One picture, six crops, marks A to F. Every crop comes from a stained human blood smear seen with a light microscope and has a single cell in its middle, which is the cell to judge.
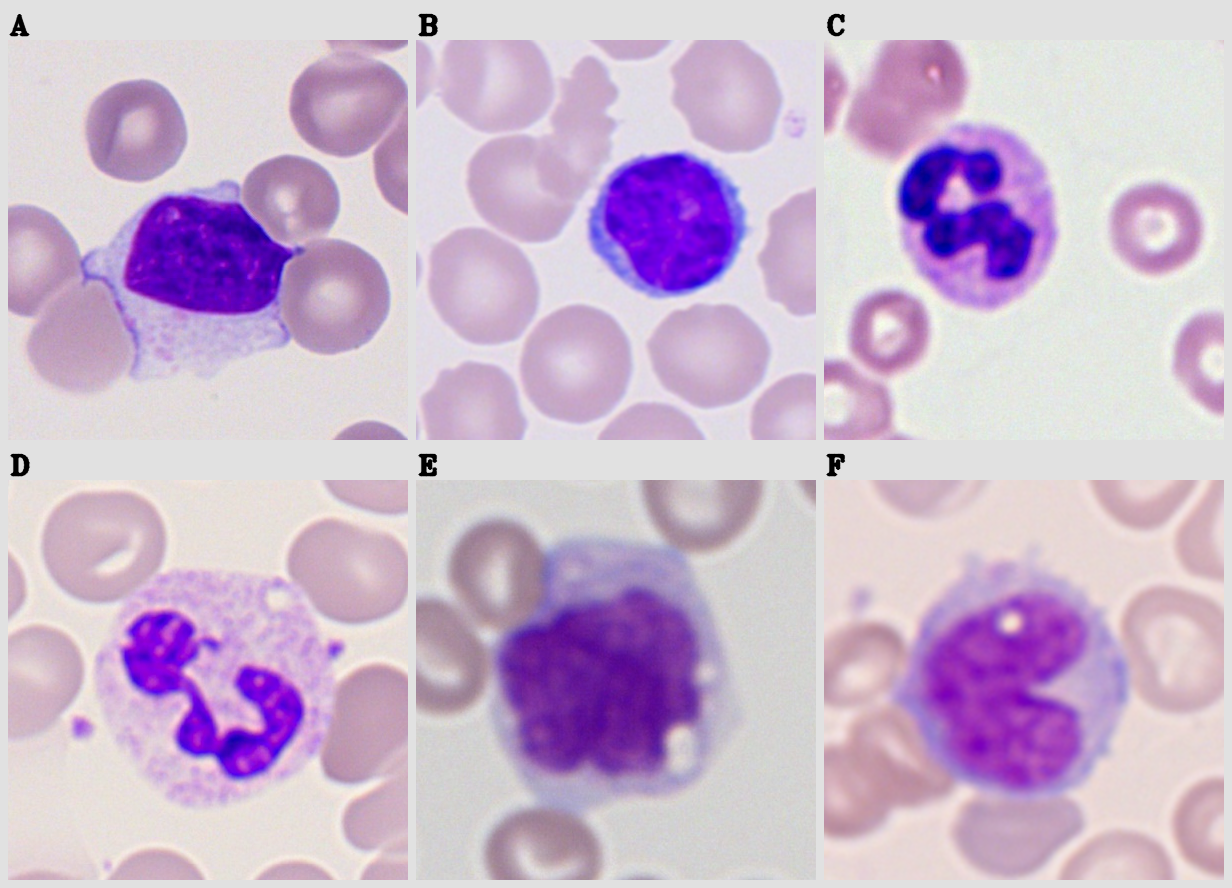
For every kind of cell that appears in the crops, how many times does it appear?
lymphocyte: 2
neutrophil: 2
monocyte: 2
